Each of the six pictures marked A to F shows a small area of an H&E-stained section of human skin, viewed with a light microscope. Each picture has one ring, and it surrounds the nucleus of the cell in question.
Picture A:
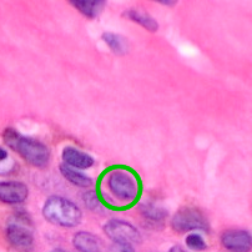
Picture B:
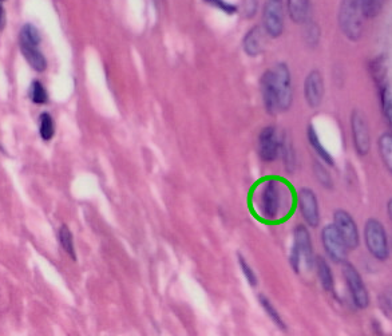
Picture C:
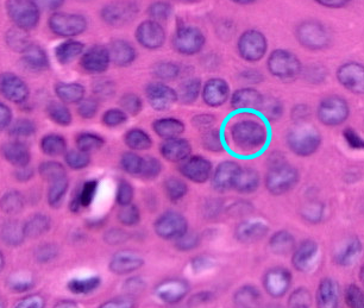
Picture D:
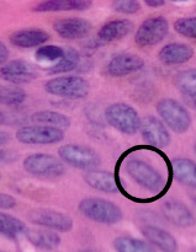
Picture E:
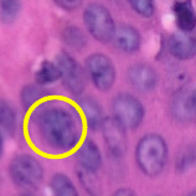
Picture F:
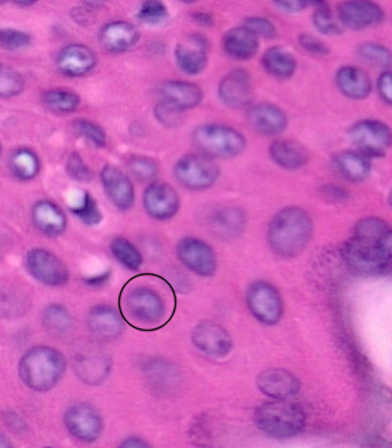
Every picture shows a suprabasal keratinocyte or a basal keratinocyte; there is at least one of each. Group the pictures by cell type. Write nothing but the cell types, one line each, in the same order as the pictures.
basal keratinocyte
basal keratinocyte
suprabasal keratinocyte
suprabasal keratinocyte
basal keratinocyte
suprabasal keratinocyte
